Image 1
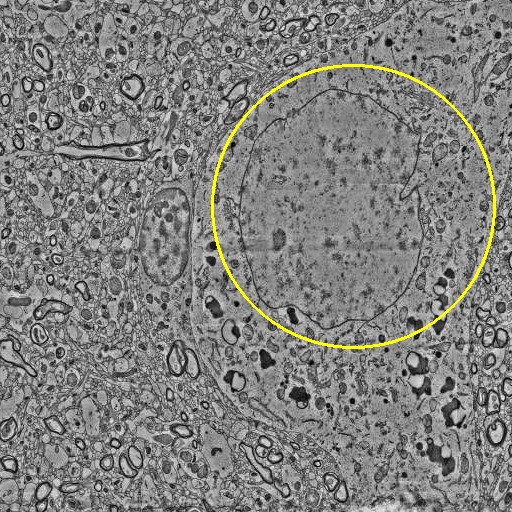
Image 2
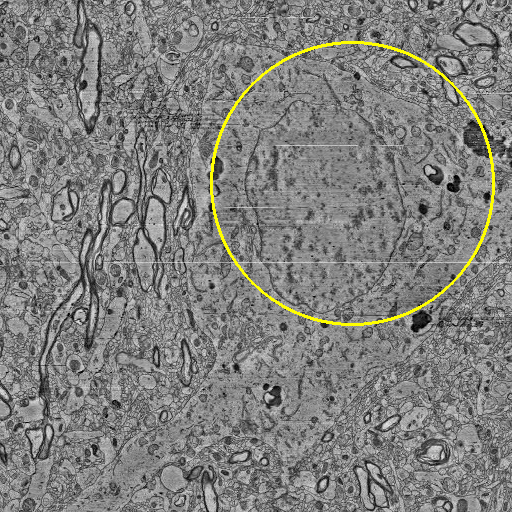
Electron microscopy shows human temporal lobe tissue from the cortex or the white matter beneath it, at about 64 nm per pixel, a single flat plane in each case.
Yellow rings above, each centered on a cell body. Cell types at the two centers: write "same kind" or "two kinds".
same kind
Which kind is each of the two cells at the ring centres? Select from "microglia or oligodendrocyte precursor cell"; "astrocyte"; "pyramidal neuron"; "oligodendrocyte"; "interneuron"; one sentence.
Each of the two rings surrounds a pyramidal neuron.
